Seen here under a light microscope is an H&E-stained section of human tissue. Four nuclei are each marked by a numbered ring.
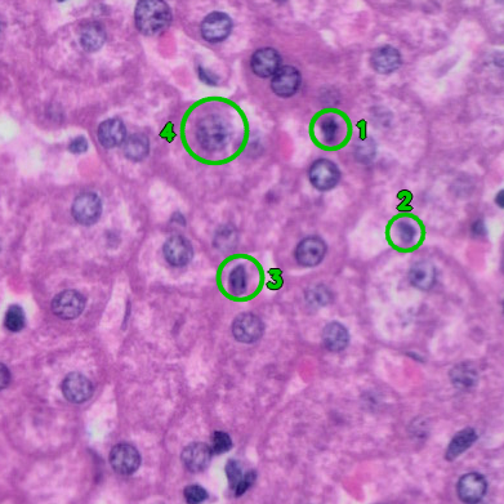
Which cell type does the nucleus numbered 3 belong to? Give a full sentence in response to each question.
The mark numbered 3 indicates the nucleus of a Kupffer cell.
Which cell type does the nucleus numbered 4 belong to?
The cell marked with number 4 is a hepatocyte.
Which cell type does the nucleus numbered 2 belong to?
The cell pointed out as number 2 is a fibroblast or stellate cell.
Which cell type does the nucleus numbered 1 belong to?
The marked cell with the number 1 is recognised as a fibroblast or stellate cell.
